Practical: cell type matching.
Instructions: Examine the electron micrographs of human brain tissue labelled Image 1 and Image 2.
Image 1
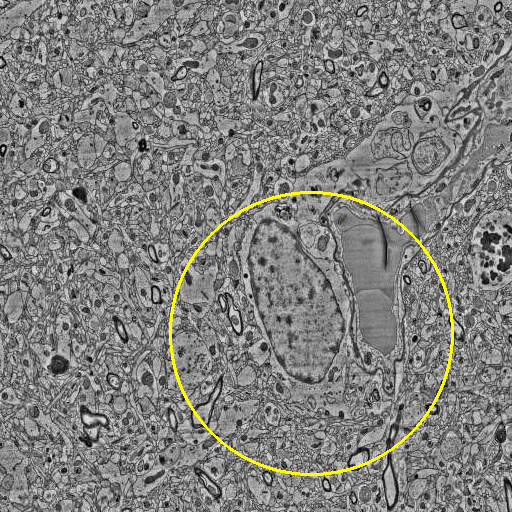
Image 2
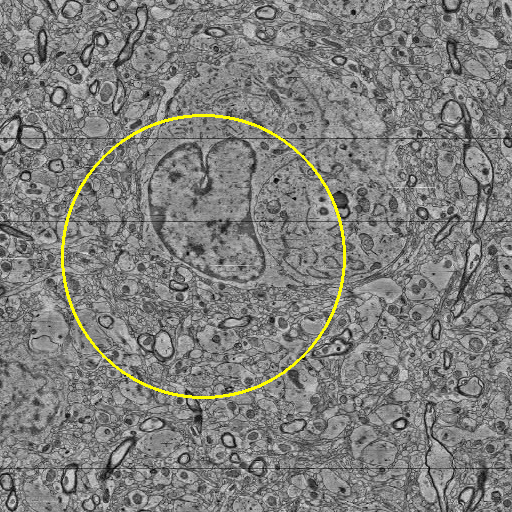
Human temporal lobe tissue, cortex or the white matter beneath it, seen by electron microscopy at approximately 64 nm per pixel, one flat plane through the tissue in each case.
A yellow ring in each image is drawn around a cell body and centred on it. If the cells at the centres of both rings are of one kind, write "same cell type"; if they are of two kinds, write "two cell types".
same cell type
